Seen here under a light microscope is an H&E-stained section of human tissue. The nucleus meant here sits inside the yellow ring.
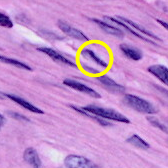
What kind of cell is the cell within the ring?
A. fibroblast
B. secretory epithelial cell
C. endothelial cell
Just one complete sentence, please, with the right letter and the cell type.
Option A is accurate, for the cell within the ring is a fibroblast.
